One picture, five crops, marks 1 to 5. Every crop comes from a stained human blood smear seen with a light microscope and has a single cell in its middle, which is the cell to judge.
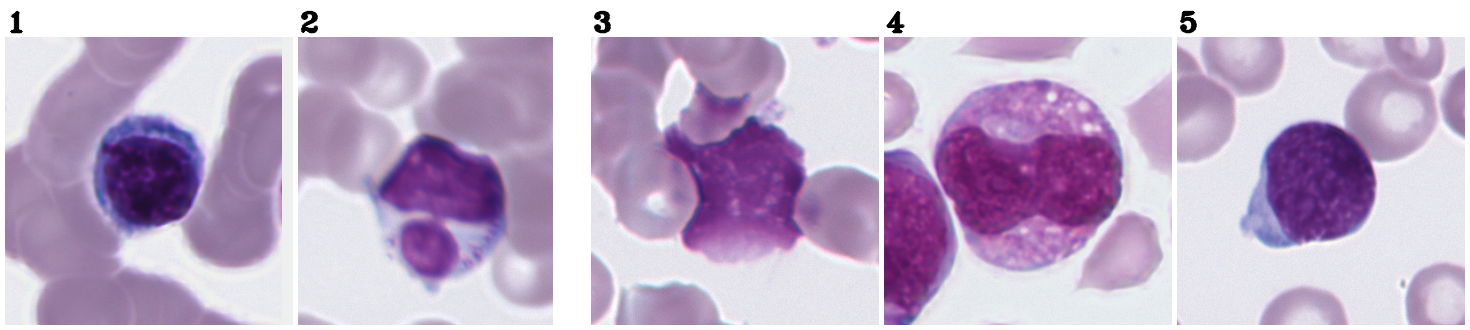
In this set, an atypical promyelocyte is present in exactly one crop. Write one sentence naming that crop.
Crop 4 matches the request, showing an atypical promyelocyte.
